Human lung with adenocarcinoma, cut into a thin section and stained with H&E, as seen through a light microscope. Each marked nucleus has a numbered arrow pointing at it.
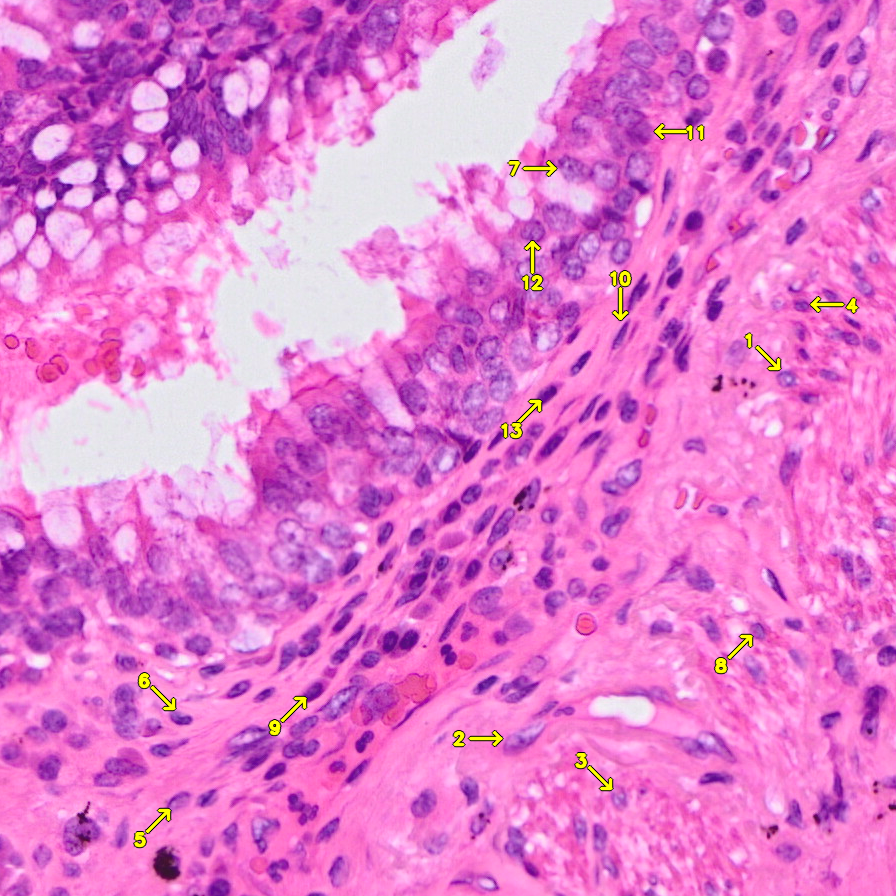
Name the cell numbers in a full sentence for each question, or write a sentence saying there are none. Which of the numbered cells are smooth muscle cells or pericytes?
Within the section, cells numbered 1, 3, 4 and 8 are smooth muscle cells or pericytes.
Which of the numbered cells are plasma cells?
The cells the numbers 9 and 13 point to are plasma cells.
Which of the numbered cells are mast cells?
Cell 6 is a mast cell, and it is the only numbered cell that is.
